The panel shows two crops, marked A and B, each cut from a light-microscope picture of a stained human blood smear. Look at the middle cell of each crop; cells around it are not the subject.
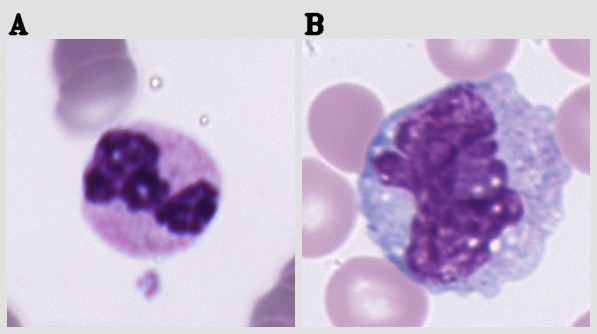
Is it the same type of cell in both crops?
no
